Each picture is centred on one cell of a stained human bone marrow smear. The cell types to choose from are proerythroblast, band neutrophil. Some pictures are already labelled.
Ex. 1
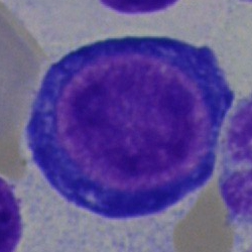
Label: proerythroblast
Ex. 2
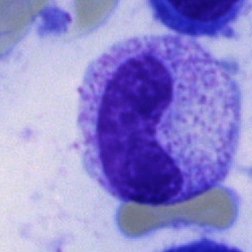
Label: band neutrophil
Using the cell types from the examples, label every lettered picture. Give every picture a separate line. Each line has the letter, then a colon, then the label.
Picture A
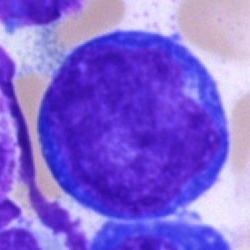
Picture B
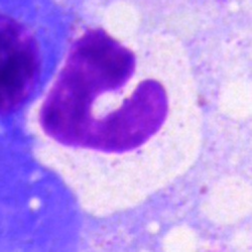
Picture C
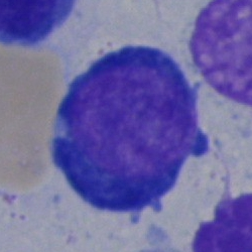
A: proerythroblast
B: band neutrophil
C: proerythroblast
